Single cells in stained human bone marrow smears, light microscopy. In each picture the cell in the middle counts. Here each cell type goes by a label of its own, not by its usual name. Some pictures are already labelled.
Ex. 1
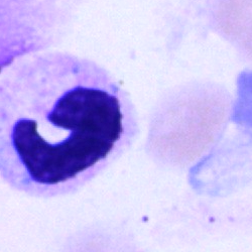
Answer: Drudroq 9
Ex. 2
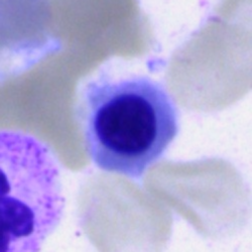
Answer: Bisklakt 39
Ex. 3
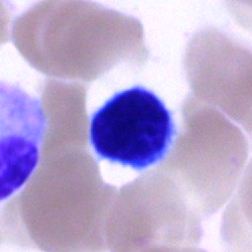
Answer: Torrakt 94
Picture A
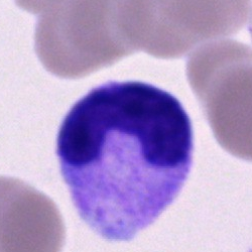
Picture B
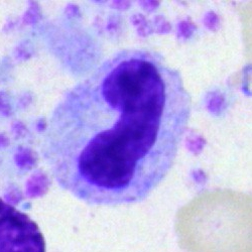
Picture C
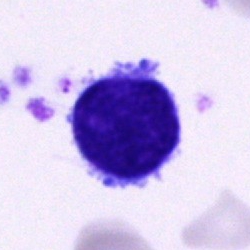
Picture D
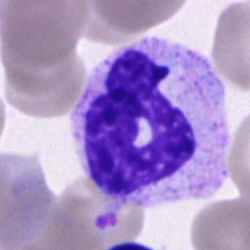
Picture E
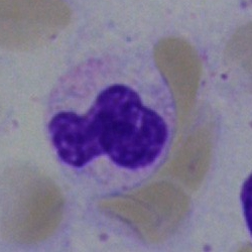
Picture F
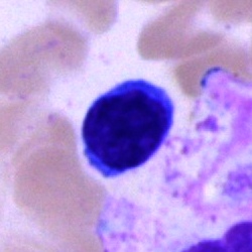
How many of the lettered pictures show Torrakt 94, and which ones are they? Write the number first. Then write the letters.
2, namely C, F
